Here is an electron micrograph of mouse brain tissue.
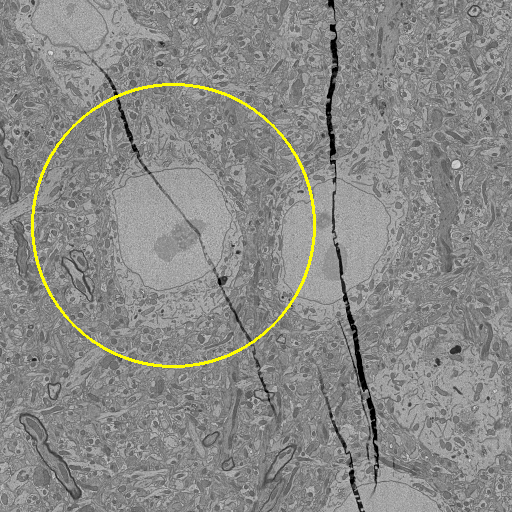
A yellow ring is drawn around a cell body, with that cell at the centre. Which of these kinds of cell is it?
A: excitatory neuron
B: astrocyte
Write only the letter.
A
